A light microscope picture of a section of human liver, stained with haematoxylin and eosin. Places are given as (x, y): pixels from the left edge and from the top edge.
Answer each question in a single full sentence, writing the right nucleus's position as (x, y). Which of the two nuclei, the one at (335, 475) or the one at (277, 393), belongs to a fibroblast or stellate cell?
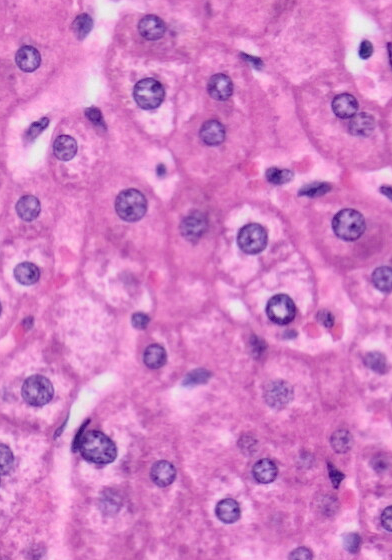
The nucleus located at (335, 475) is the one held within a fibroblast or stellate cell.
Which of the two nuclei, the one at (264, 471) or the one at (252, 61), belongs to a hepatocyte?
The nucleus at (264, 471) is contained in a hepatocyte.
